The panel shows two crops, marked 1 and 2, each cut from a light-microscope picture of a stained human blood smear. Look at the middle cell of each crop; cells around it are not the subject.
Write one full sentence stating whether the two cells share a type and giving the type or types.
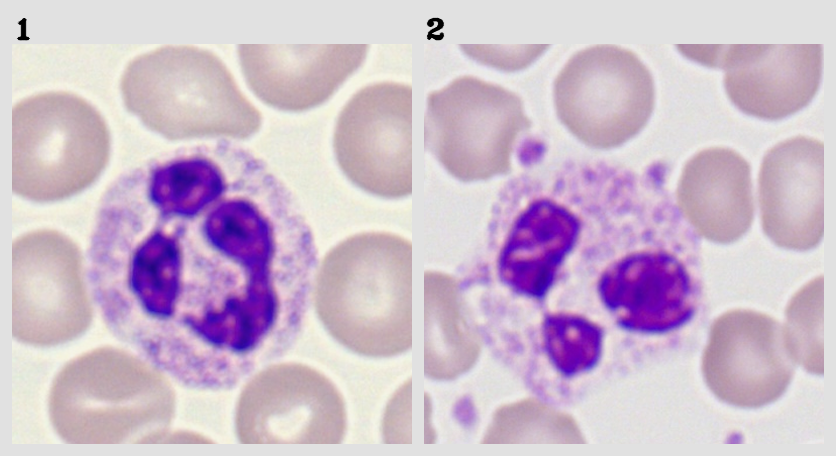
Yes, segmented neutrophils are at the centre in both crops.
